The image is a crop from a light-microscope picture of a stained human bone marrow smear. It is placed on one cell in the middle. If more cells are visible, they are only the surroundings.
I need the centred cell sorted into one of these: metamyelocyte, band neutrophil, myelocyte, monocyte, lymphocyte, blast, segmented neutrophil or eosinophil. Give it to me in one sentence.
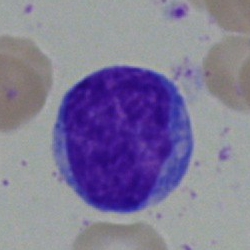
In this smear crop, the middle cell is a blast.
